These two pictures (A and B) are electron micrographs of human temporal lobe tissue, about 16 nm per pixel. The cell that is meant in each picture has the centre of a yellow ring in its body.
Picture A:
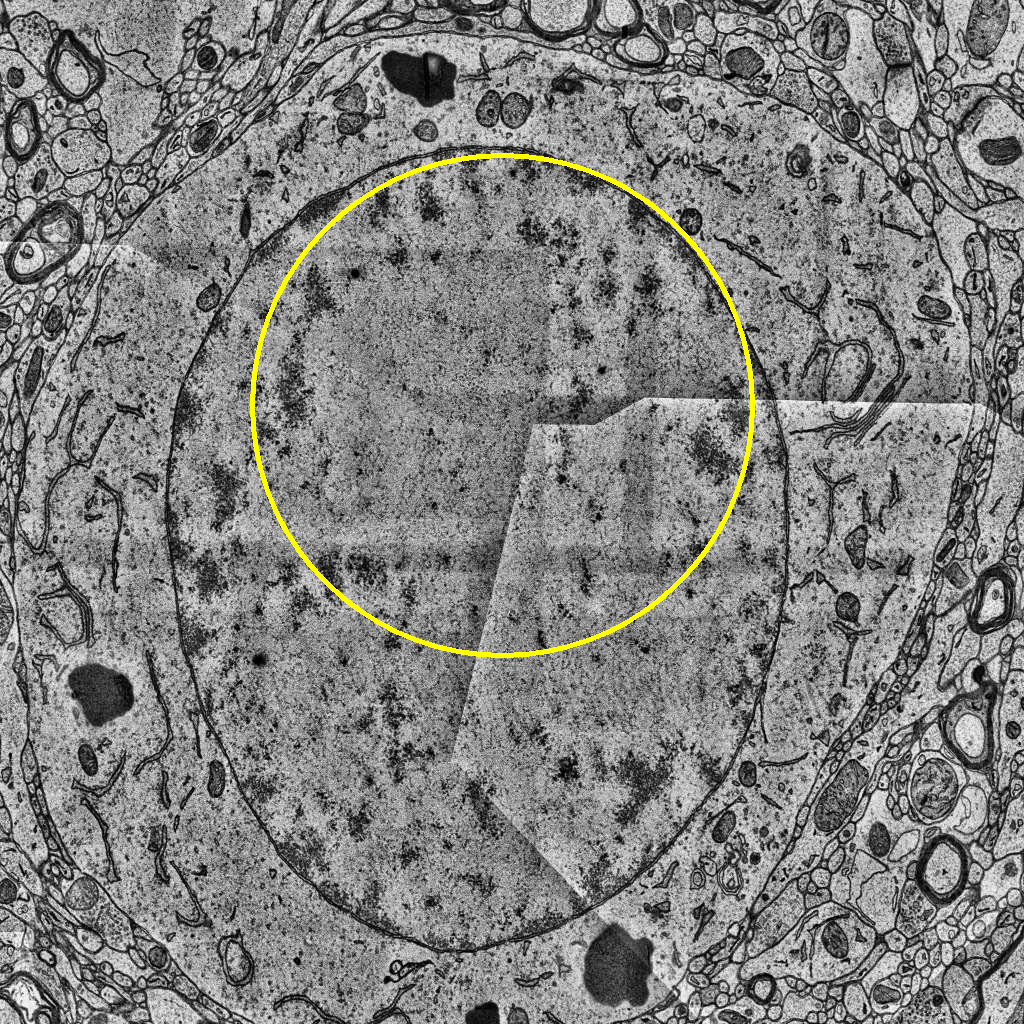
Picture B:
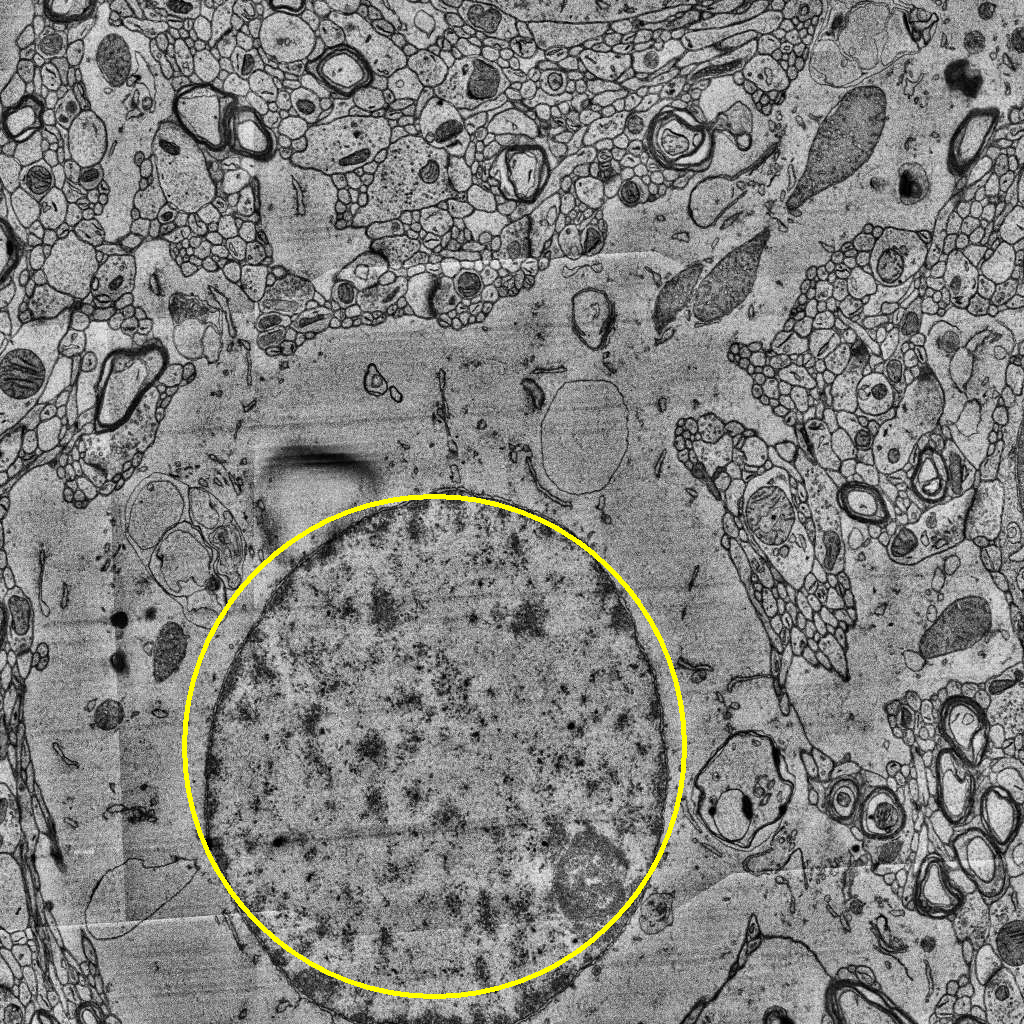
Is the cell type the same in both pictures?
No, they differ: the cell is a pyramidal neuron in picture A and an astrocyte in picture B.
